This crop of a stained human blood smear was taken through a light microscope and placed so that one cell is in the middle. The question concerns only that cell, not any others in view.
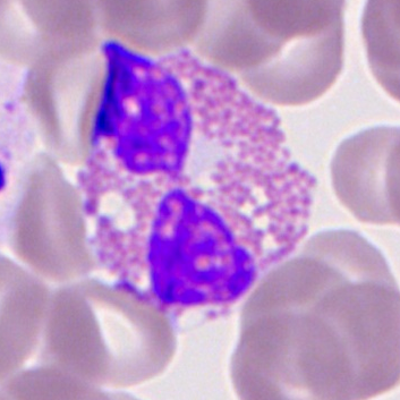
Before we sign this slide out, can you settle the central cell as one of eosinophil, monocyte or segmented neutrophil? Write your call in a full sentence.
Classification of the middle cell gives an eosinophil.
